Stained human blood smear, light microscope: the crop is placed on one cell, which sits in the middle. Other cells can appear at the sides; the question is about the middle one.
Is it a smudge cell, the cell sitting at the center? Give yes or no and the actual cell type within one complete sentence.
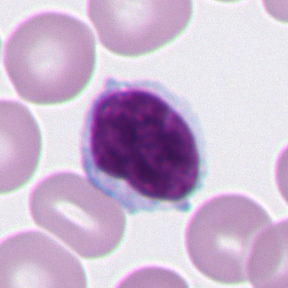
No, the middle of the crop holds a typical lymphocyte, not a smudge cell.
